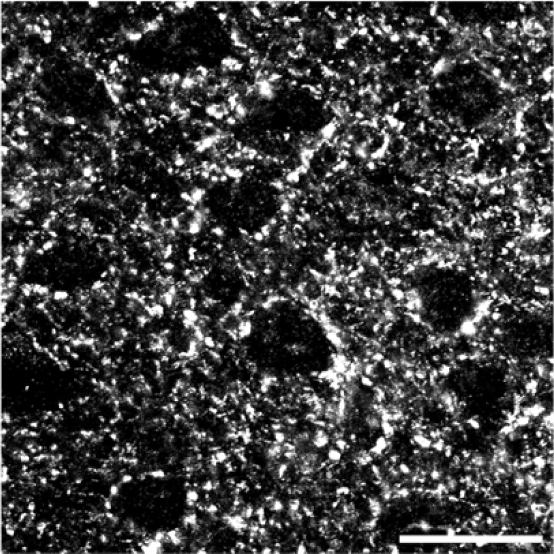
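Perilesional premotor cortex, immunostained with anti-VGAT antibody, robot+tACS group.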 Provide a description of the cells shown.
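This is cortical tissue filled with countless bright, small dots and short threads on a dark background. Scattered through it are dark, rounded, unstained spaces the size of neuronal cell bodies. The bright dots crowd along the edges of these dark spaces, so that each is outlined by a beaded ring. Between the rings the neuropil is speckled more evenly. The rings of dots around the cell bodies are puncta-rings of terminals contacting neurons.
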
